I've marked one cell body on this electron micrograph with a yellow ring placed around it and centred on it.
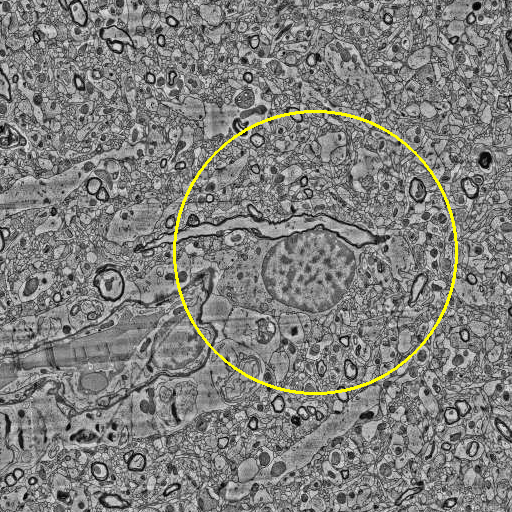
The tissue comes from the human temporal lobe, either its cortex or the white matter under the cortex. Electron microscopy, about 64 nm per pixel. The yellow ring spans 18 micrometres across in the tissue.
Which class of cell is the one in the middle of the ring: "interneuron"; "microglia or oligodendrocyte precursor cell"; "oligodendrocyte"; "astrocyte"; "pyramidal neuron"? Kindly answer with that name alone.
oligodendrocyte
